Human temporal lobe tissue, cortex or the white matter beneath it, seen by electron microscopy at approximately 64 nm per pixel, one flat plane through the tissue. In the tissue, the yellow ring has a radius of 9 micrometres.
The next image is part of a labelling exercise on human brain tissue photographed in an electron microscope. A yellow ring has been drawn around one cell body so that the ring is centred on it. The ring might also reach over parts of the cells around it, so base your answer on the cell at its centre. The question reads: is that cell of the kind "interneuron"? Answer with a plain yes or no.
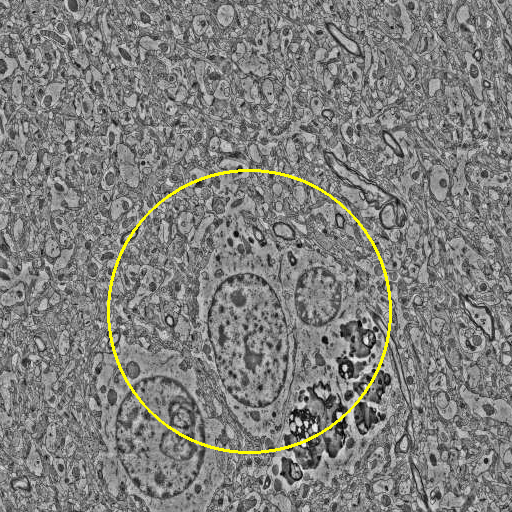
no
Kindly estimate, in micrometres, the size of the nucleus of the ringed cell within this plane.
Approximately 8 x 5 micrometres in this plane.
